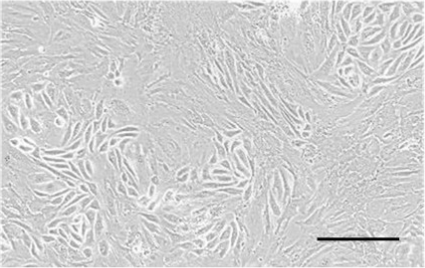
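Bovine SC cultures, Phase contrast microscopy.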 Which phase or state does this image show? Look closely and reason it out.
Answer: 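Fibroblast or polygonal morphology. Many cells are elongated and spindle-shaped, lying in parallel streams. Other cells are broader with several angular sides. The cells form a dense flat layer on the culture surface.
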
